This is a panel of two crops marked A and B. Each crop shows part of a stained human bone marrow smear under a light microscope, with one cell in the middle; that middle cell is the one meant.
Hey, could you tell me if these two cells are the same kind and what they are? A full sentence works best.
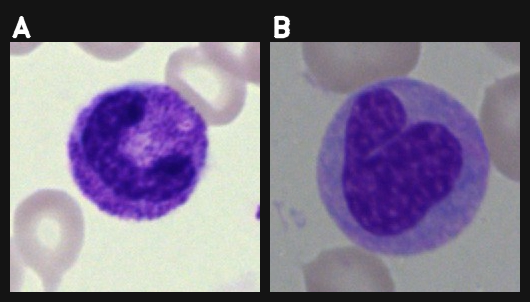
No, crop A has a band neutrophil at its center, and crop B has a monocyte.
